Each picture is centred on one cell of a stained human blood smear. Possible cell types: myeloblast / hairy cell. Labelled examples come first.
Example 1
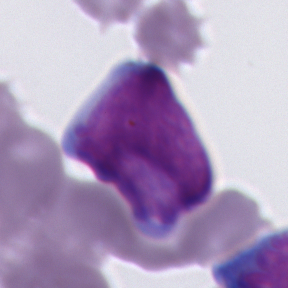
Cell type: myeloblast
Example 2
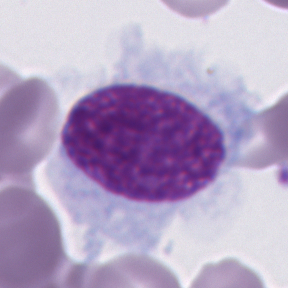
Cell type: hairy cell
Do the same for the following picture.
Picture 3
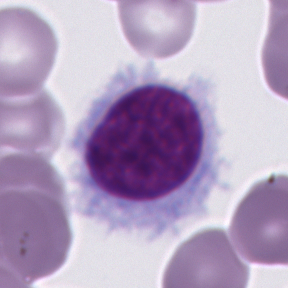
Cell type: hairy cell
